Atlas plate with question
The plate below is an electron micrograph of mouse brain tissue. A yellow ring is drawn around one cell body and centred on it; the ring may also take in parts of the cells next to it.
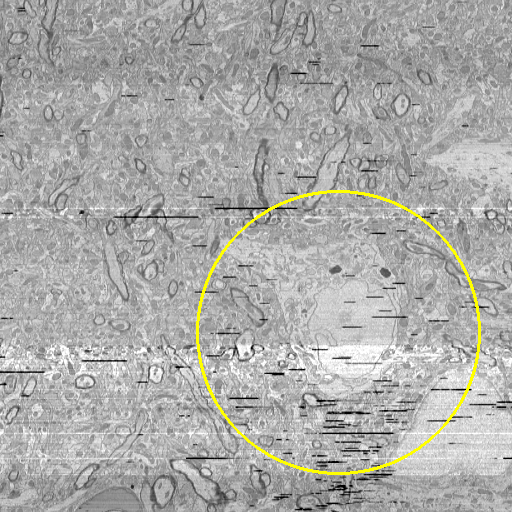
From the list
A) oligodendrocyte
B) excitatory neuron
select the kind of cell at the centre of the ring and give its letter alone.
B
